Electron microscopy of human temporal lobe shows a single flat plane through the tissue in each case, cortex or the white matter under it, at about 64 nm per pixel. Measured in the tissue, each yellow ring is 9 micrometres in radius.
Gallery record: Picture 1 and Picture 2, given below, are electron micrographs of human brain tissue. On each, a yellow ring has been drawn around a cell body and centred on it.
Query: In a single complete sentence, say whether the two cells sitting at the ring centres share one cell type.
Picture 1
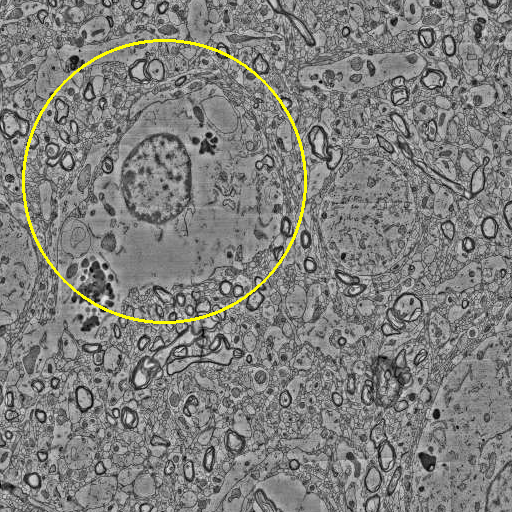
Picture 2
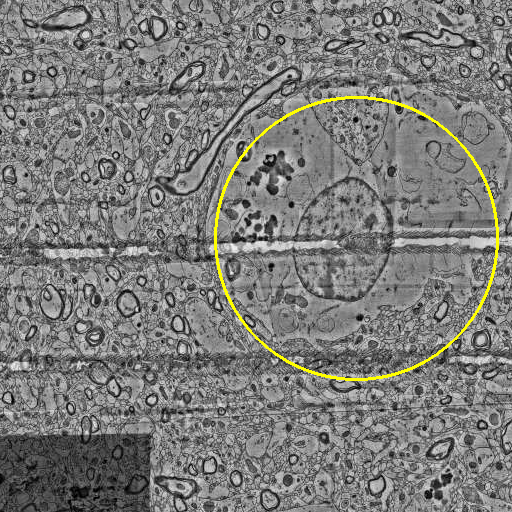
Yes, in both pictures the cell at the ring's centre is of one and the same type.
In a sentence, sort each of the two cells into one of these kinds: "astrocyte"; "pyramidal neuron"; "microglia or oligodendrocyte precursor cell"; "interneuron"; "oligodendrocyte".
Each of the ringed cells, first and second, is an astrocyte.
